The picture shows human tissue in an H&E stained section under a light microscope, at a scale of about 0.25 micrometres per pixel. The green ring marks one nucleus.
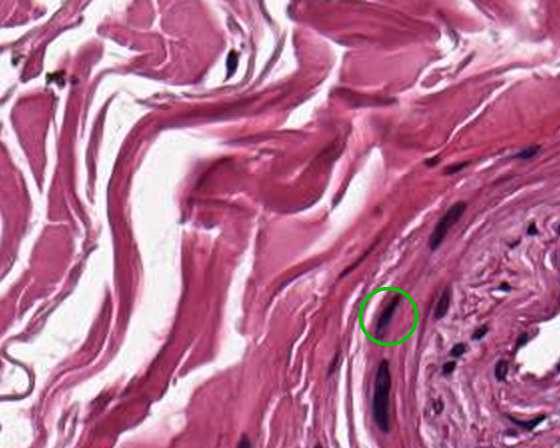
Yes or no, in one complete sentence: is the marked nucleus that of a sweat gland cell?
No, it is not a sweat gland cell that the marked nucleus belongs to.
